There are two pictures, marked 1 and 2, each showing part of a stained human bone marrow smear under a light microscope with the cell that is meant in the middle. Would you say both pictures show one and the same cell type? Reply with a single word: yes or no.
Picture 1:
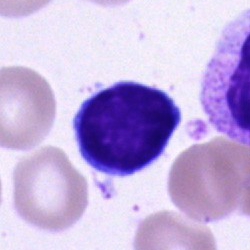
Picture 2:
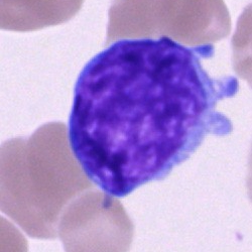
no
